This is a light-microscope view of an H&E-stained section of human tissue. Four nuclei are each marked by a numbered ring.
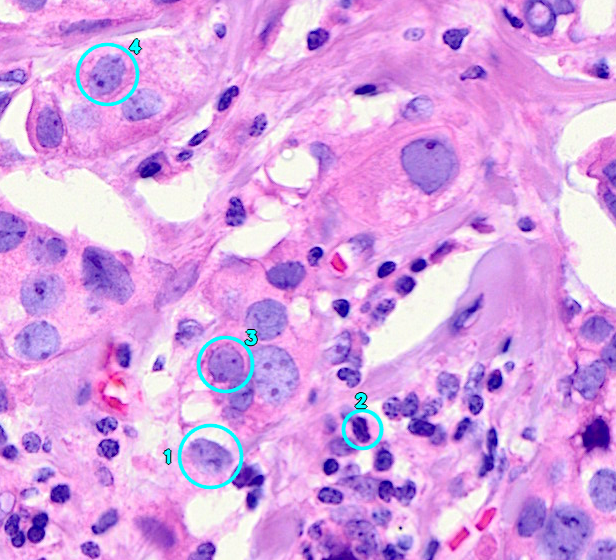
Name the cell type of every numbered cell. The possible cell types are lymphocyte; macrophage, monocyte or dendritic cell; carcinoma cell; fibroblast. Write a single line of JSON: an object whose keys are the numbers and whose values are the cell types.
{"1": "carcinoma cell", "2": "lymphocyte", "3": "carcinoma cell", "4": "carcinoma cell"}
